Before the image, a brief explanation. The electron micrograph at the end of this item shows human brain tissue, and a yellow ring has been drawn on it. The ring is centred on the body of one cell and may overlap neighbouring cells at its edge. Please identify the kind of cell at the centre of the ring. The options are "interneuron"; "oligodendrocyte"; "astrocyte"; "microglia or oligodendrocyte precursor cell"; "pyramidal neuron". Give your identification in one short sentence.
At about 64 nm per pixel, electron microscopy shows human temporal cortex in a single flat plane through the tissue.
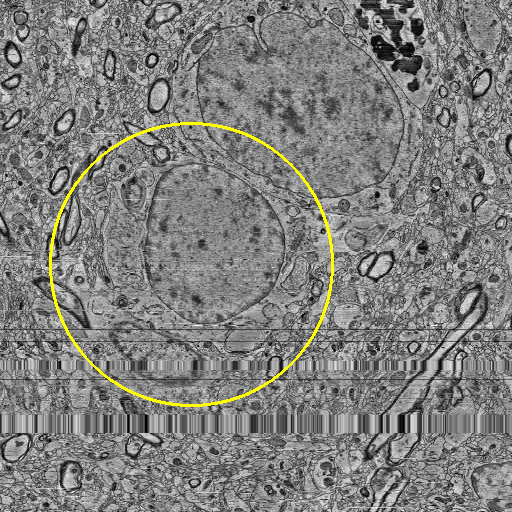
The ring has been placed around an astrocyte.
